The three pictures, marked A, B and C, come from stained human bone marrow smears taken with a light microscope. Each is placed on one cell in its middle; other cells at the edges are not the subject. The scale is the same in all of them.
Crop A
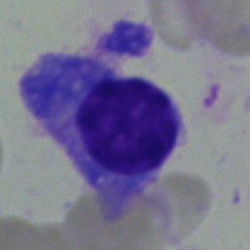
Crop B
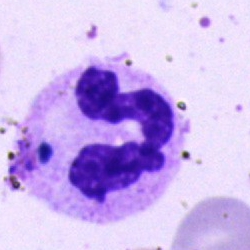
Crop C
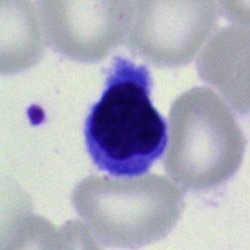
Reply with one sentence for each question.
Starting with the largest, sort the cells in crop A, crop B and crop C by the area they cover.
From the largest down, the order is B, A, C.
